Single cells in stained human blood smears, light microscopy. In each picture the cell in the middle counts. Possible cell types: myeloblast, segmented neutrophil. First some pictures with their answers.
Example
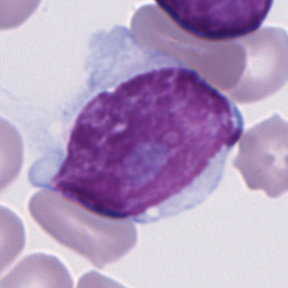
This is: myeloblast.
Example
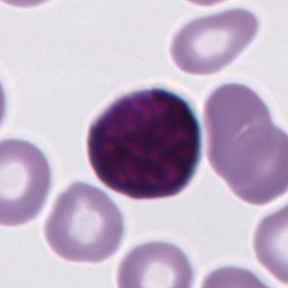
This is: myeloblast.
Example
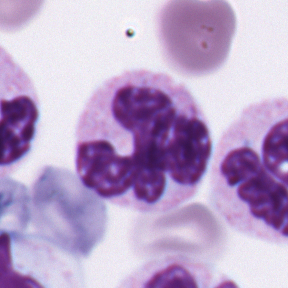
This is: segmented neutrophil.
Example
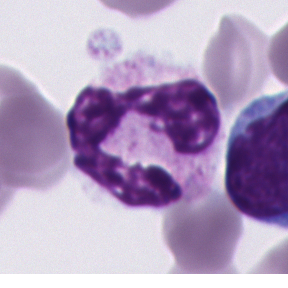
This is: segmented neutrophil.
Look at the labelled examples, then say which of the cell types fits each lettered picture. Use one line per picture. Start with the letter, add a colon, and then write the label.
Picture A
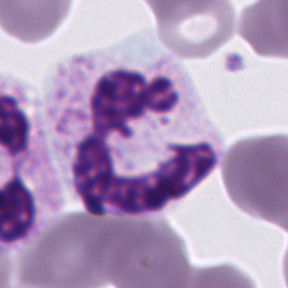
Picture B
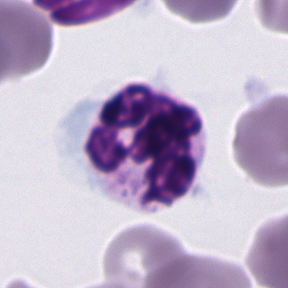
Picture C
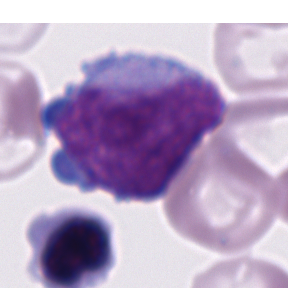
A: segmented neutrophil.
B: segmented neutrophil.
C: myeloblast.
